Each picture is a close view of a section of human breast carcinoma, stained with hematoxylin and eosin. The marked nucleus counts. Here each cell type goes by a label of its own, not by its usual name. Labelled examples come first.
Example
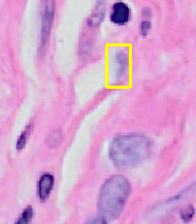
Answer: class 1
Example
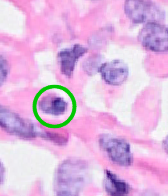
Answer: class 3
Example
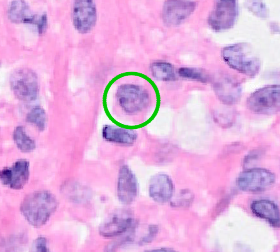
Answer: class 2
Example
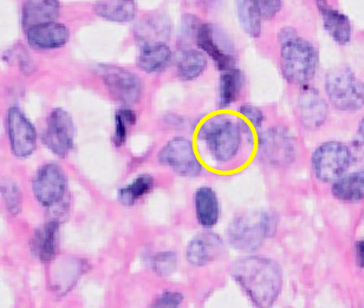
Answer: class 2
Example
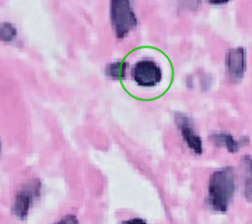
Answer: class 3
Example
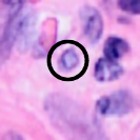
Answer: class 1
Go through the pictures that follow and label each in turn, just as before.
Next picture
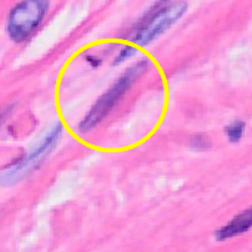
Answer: class 1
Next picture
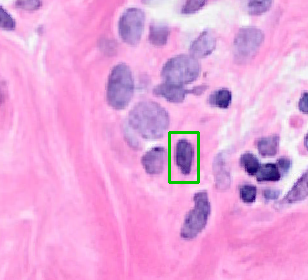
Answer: class 3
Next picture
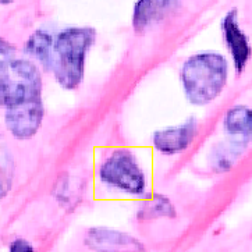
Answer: class 2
